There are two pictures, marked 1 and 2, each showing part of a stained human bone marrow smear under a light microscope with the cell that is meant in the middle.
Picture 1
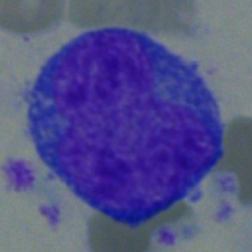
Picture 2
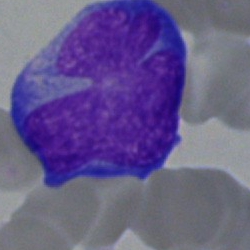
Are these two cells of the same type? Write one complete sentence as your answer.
Yes; the cells in both pictures are blasts.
